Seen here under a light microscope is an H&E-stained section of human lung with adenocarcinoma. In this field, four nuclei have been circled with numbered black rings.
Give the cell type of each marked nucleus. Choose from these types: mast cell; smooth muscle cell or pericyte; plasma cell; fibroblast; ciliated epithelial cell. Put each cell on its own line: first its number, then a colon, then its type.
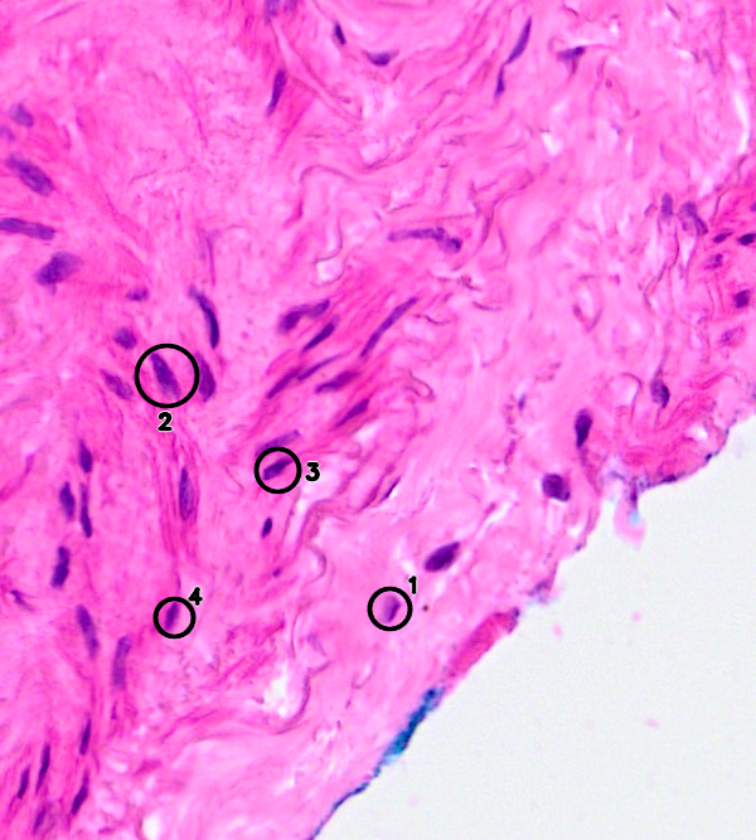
1: fibroblast
2: smooth muscle cell or pericyte
3: smooth muscle cell or pericyte
4: smooth muscle cell or pericyte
